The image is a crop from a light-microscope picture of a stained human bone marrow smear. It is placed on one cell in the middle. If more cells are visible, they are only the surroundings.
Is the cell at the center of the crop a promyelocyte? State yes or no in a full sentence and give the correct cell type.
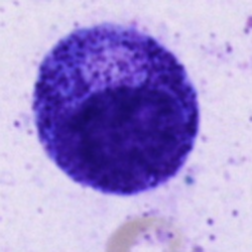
Yes, in this crop the cell in the middle is a promyelocyte.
